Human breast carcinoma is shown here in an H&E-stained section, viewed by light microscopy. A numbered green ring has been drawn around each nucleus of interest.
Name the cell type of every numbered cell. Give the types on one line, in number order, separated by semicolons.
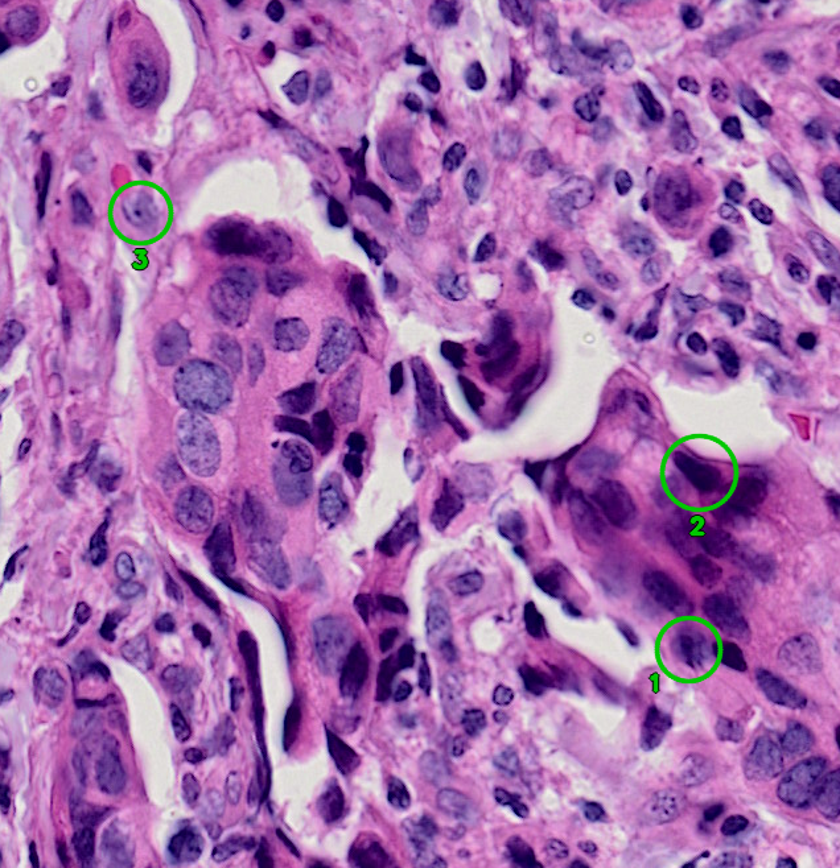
carcinoma cell; carcinoma cell; endothelial cell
